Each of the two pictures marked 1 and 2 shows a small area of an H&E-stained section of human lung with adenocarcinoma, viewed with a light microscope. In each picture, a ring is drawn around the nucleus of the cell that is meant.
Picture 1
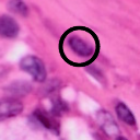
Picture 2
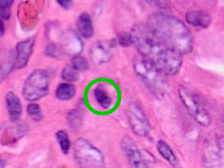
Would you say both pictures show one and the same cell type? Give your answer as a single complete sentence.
No; the cell in picture 1 is a plasma cell, while the one in picture 2 is a lymphocyte.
